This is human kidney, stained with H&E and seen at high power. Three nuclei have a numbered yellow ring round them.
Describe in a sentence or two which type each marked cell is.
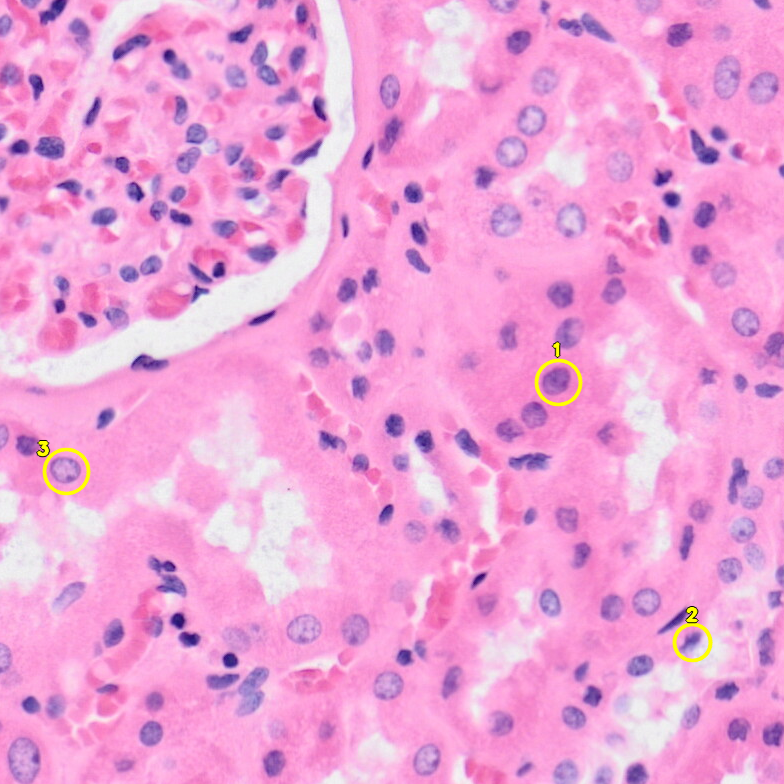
Cells 1 and 3 are proximal tubule cells. Cell 2 is a loop of Henle or distal tubule cell.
